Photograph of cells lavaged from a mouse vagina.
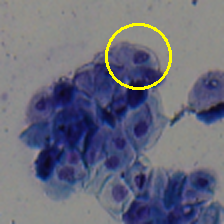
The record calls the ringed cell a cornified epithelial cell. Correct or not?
Not correct; it is a nucleated epithelial cell.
